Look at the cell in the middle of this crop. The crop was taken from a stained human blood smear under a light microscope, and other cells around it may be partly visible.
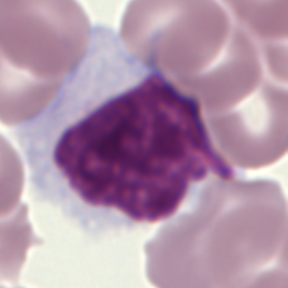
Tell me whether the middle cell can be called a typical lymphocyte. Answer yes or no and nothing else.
no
